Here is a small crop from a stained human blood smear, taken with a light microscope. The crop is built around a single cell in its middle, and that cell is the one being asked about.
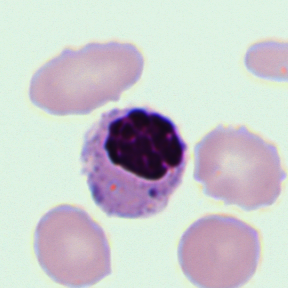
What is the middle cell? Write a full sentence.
The cell centered in this field of view is a normoblast.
